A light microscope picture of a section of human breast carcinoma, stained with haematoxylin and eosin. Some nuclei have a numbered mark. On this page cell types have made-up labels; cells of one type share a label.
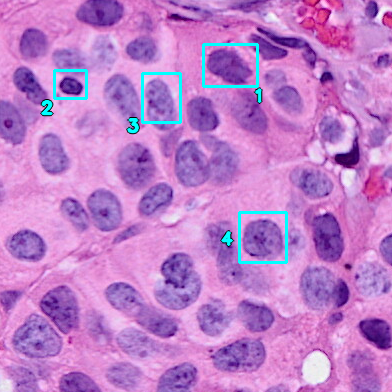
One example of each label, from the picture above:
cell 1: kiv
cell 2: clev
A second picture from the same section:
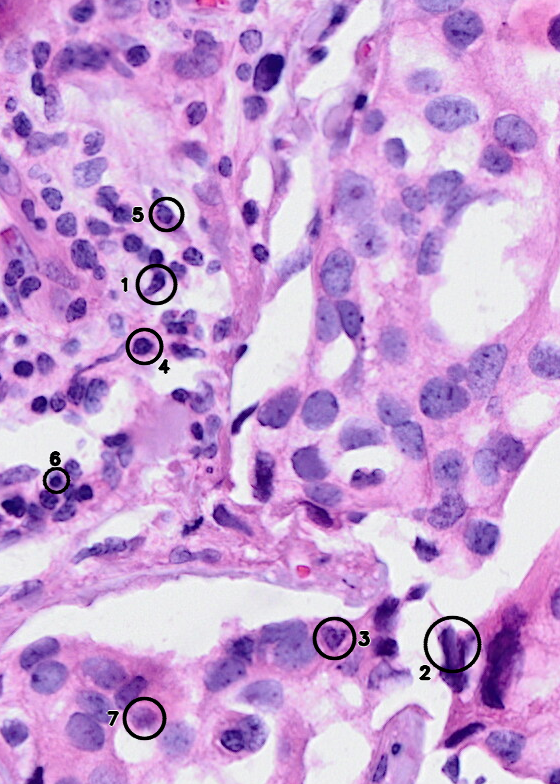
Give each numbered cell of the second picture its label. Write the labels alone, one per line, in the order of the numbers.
clev
kiv
kiv
clev
clev
clev
kiv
